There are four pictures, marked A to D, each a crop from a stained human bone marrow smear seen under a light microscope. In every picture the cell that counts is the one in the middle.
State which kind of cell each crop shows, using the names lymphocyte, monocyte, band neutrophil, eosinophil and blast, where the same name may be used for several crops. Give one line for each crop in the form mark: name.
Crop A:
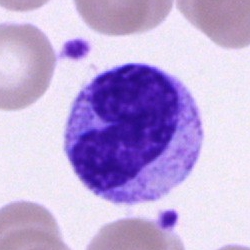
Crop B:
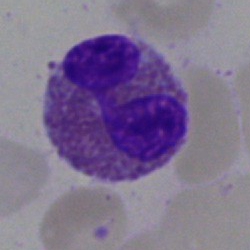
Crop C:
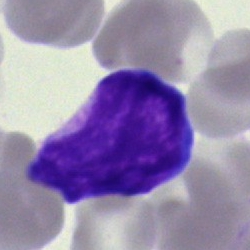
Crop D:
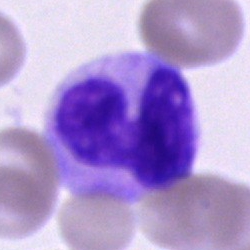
A: band neutrophil
B: eosinophil
C: blast
D: band neutrophil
